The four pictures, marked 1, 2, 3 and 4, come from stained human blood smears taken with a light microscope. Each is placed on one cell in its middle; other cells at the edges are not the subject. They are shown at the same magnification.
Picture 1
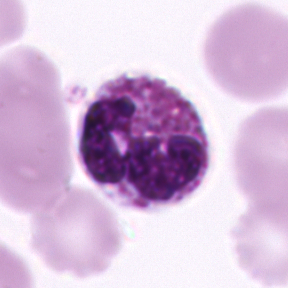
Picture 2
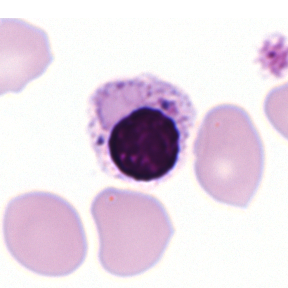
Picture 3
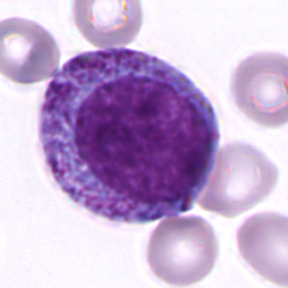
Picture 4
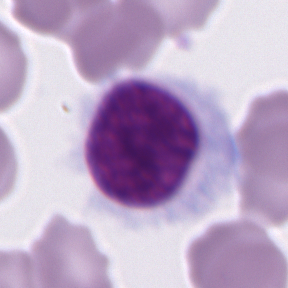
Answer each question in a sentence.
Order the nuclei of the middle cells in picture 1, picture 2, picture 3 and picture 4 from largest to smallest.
Going down, they run 3, 4, 1, 2.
